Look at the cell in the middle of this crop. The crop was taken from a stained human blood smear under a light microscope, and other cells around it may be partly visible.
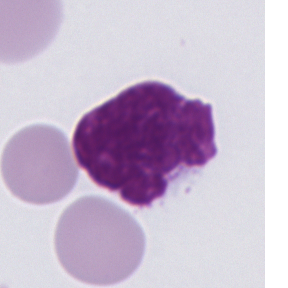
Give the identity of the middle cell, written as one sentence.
The cell sitting right in the middle is a smudge cell.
